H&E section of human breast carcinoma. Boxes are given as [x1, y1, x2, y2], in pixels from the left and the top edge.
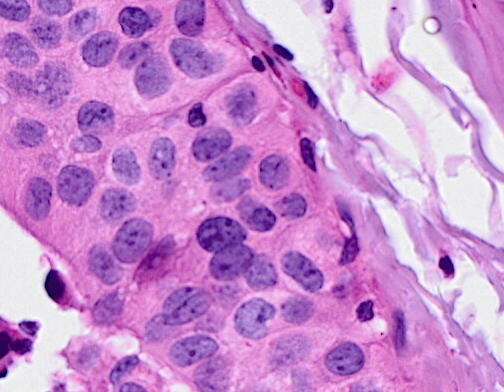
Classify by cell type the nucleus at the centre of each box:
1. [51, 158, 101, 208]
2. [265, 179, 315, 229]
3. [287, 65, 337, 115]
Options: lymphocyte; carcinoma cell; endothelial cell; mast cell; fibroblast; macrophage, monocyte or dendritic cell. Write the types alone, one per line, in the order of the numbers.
carcinoma cell
carcinoma cell
endothelial cell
